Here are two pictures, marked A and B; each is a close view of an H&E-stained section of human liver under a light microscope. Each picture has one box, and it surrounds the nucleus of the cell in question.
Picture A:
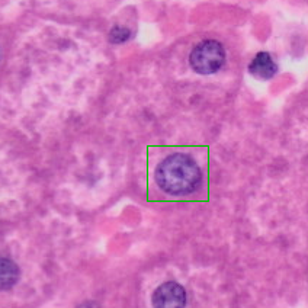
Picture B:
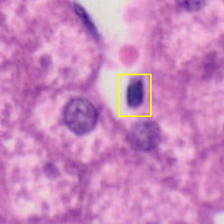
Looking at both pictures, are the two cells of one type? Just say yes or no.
no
